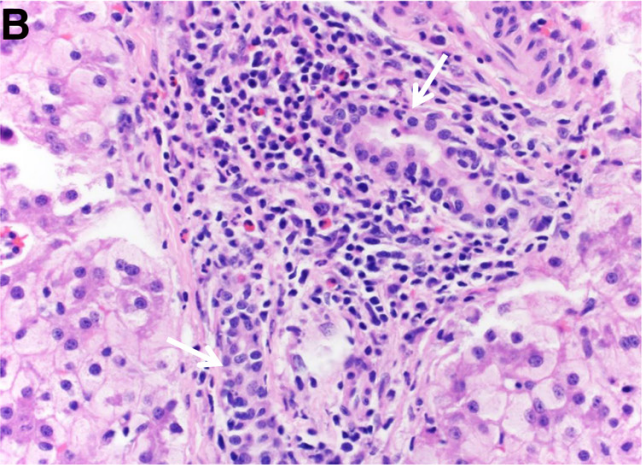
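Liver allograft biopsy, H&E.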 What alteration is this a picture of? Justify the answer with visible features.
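Mixed portal inflammation. A dense infiltrate of small dark-nucleated cells fills the portal area. Different inflammatory cells are mixed, some with pink cytoplasm. The infiltrate surrounds duct structures and abuts hepatocytes.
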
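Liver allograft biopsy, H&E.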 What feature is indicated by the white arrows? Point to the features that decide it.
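Bile ducts. The arrows point at small tubular structures lined by cuboidal epithelial cells around a lumen. These structures lie within a dense cellular infiltrate between plates of hepatocytes.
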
